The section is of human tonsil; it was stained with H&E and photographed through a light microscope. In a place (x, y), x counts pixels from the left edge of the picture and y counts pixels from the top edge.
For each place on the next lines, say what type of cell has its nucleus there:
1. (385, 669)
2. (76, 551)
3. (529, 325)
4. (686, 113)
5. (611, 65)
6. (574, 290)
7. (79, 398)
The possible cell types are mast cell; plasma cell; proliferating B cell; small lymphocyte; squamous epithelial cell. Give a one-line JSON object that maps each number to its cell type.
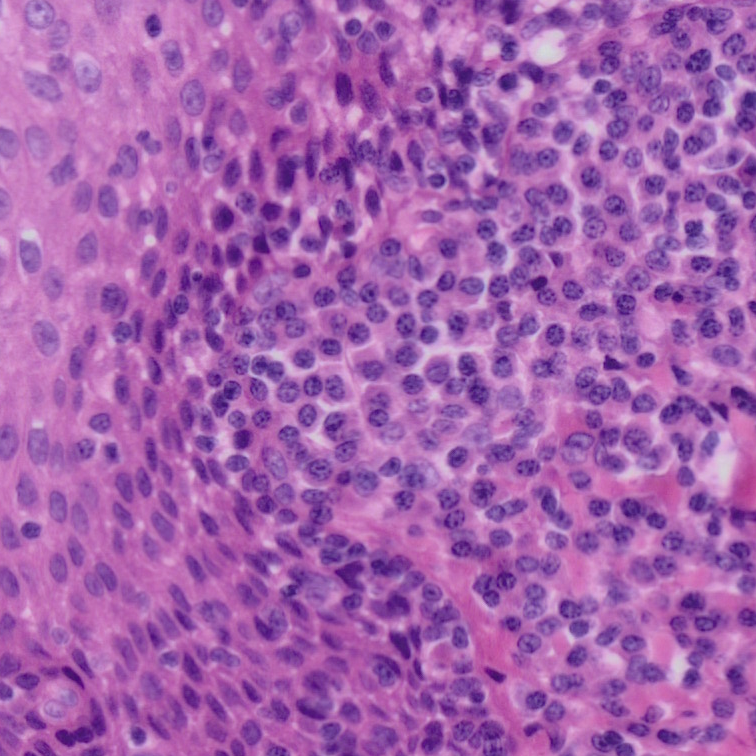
{"1": "squamous epithelial cell", "2": "squamous epithelial cell", "3": "plasma cell", "4": "plasma cell", "5": "plasma cell", "6": "plasma cell", "7": "squamous epithelial cell"}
